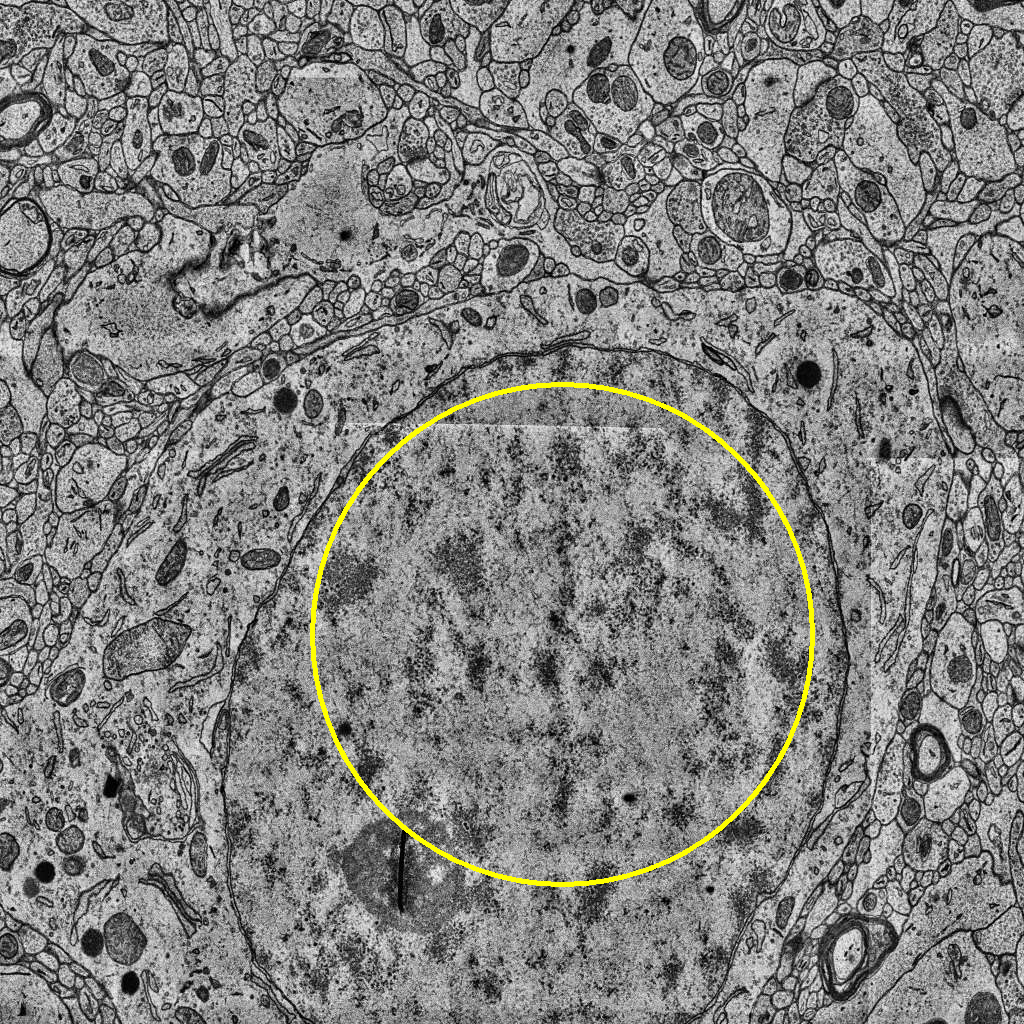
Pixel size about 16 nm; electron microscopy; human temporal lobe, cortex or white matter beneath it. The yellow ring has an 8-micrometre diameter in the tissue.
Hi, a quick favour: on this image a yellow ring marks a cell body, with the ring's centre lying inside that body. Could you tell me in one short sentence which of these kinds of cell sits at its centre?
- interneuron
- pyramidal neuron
The ring's centre lies in an interneuron.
